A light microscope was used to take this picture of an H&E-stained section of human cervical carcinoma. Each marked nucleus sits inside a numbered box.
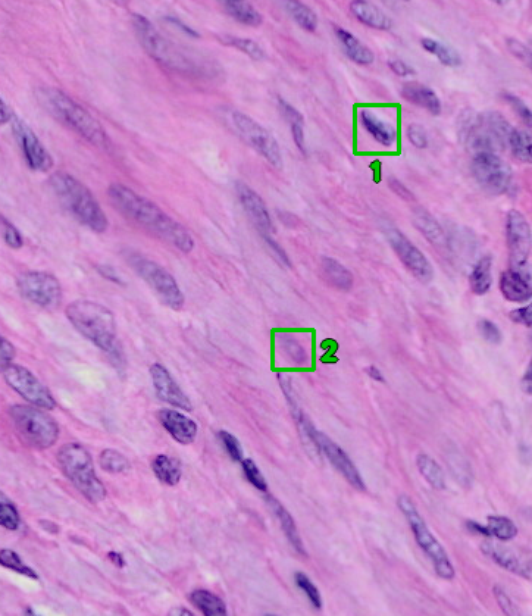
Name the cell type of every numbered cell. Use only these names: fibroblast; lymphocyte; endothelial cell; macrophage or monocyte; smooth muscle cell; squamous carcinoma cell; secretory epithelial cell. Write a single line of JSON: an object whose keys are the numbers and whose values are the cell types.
{"1": "lymphocyte", "2": "smooth muscle cell"}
